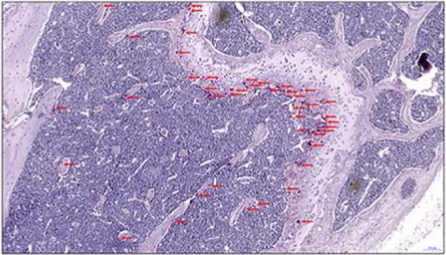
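This is a section of bone in which densely packed, purple-stained bone marrow fills the spaces between pale pink bony trabeculae. A paler band of tissue crosses the upper part of the section, and thin trabeculae branch from it into the marrow.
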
